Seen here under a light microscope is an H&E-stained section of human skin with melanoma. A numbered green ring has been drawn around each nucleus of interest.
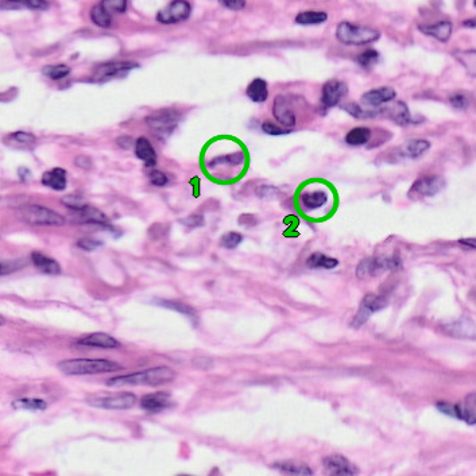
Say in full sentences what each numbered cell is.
Cell 1 is a fibroblast or myofibroblast. Cell 2 is a plasma cell.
